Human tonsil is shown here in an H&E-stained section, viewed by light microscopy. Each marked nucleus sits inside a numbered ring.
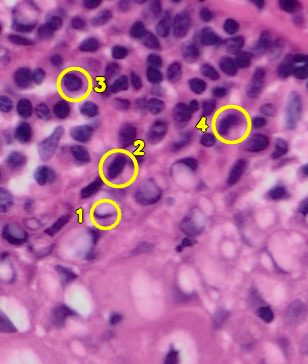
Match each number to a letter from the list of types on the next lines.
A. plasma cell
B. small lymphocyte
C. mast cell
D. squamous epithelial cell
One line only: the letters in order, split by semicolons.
D; D; A; D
